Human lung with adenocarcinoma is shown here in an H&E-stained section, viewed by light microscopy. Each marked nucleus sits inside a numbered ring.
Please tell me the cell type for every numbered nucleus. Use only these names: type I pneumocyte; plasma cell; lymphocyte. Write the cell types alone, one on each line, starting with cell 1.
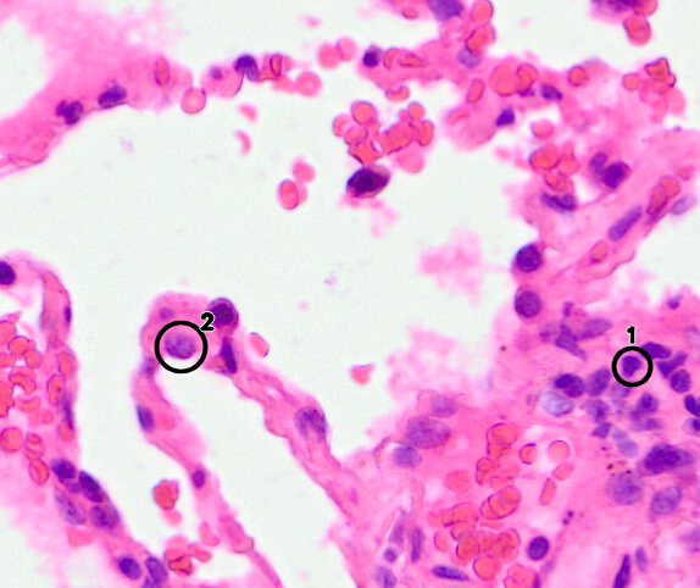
lymphocyte
type I pneumocyte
